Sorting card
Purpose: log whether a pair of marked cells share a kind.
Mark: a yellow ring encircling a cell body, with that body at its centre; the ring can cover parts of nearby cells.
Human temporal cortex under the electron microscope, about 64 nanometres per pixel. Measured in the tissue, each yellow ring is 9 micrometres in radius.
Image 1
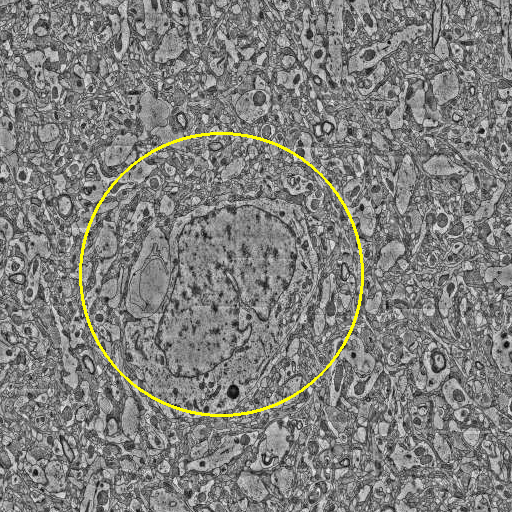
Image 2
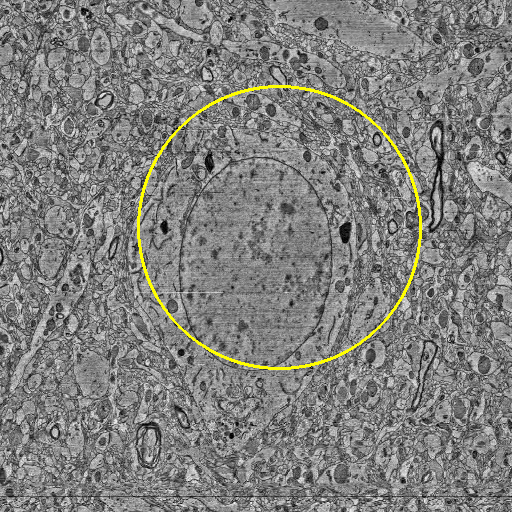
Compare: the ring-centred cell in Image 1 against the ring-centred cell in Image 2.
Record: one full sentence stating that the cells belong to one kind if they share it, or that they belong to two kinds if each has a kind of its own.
Across Images 1 and 2, the two ring-centred cells belong to two kinds.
